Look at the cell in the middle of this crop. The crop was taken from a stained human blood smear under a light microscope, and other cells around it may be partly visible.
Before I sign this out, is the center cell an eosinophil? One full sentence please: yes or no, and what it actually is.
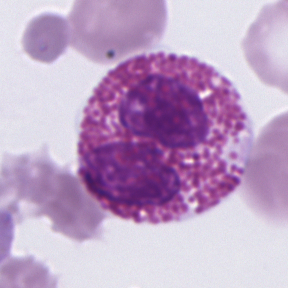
Yes, the cell sitting in the middle of this smear crop is an eosinophil.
